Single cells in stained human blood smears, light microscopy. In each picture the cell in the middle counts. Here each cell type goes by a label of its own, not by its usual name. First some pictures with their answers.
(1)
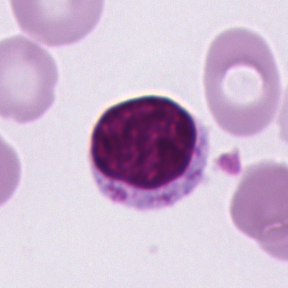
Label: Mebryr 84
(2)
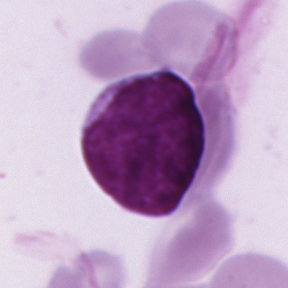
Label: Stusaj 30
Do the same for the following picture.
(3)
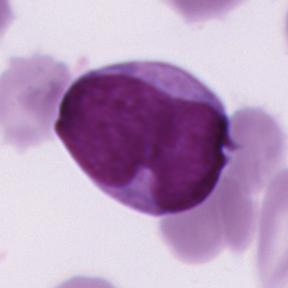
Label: Stusaj 30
